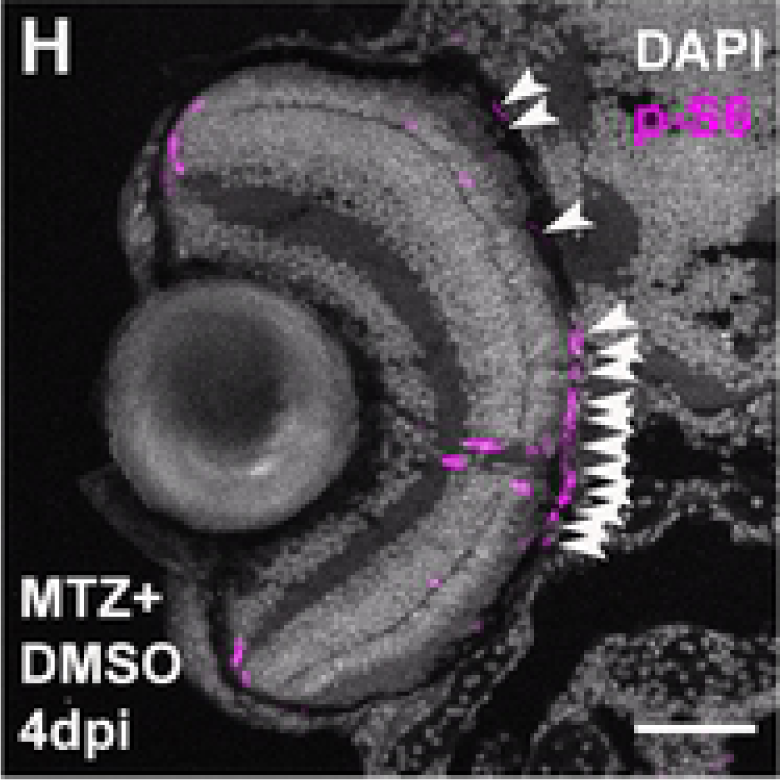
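A transverse section through a larval eye shows a round lens on the left and a curved, layered retina with bands of densely packed white nuclei separated by darker fibre layers. Along the outer back edge of the retina, a thin cell layer carries a row of magenta nuclei, marked by white arrowheads and clustered in the central back region. A few other magenta nuclei lie near the margins of the retina. These labelled cells lie in the pigment epithelium layer behind the retina.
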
